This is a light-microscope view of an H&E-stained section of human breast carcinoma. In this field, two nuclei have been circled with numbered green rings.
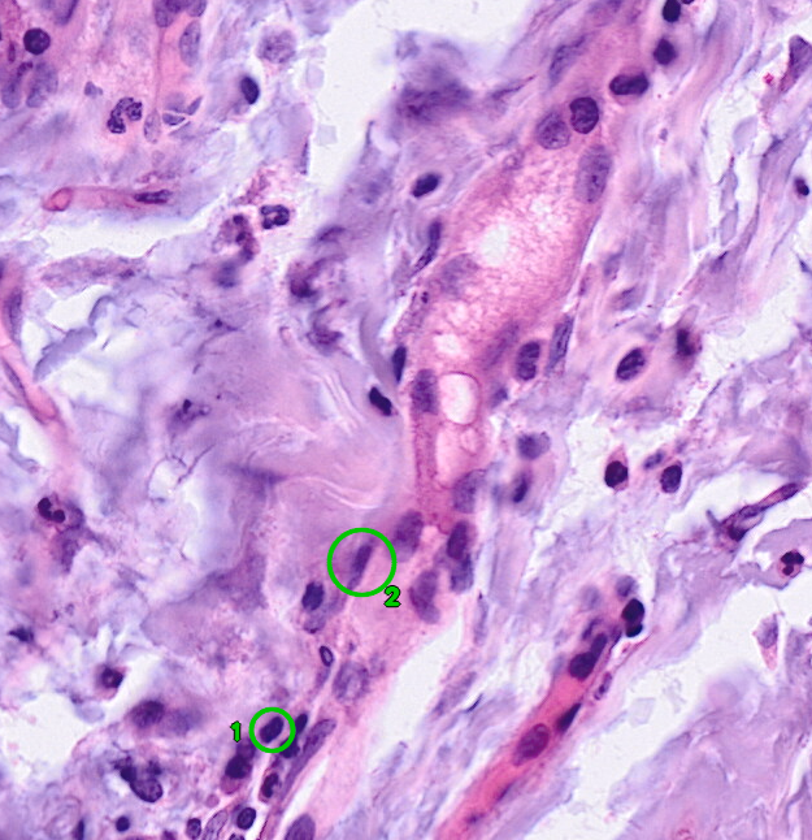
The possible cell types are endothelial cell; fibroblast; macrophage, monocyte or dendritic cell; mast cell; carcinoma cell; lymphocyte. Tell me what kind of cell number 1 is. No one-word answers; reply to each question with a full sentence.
To a lymphocyte belongs the nucleus marked 1.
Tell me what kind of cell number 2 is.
The cell numbered 2 represents a fibroblast.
